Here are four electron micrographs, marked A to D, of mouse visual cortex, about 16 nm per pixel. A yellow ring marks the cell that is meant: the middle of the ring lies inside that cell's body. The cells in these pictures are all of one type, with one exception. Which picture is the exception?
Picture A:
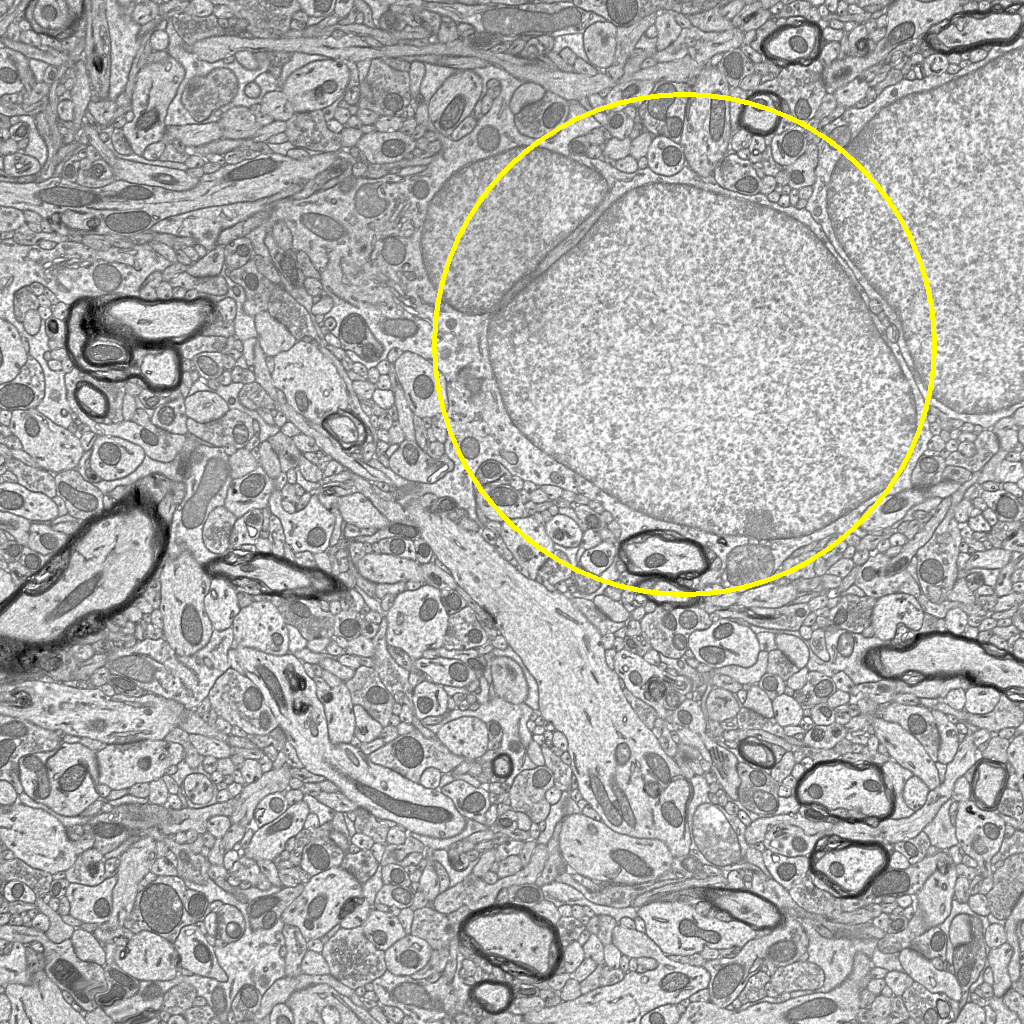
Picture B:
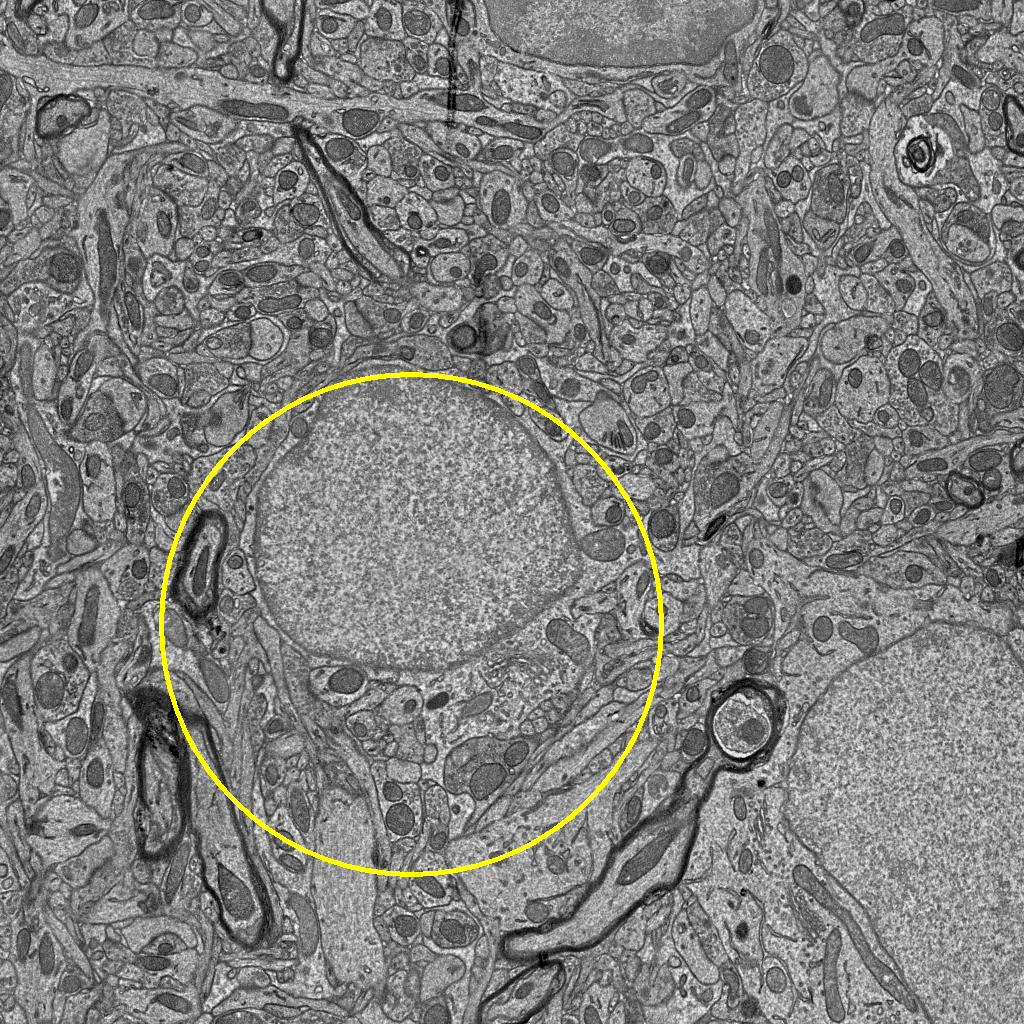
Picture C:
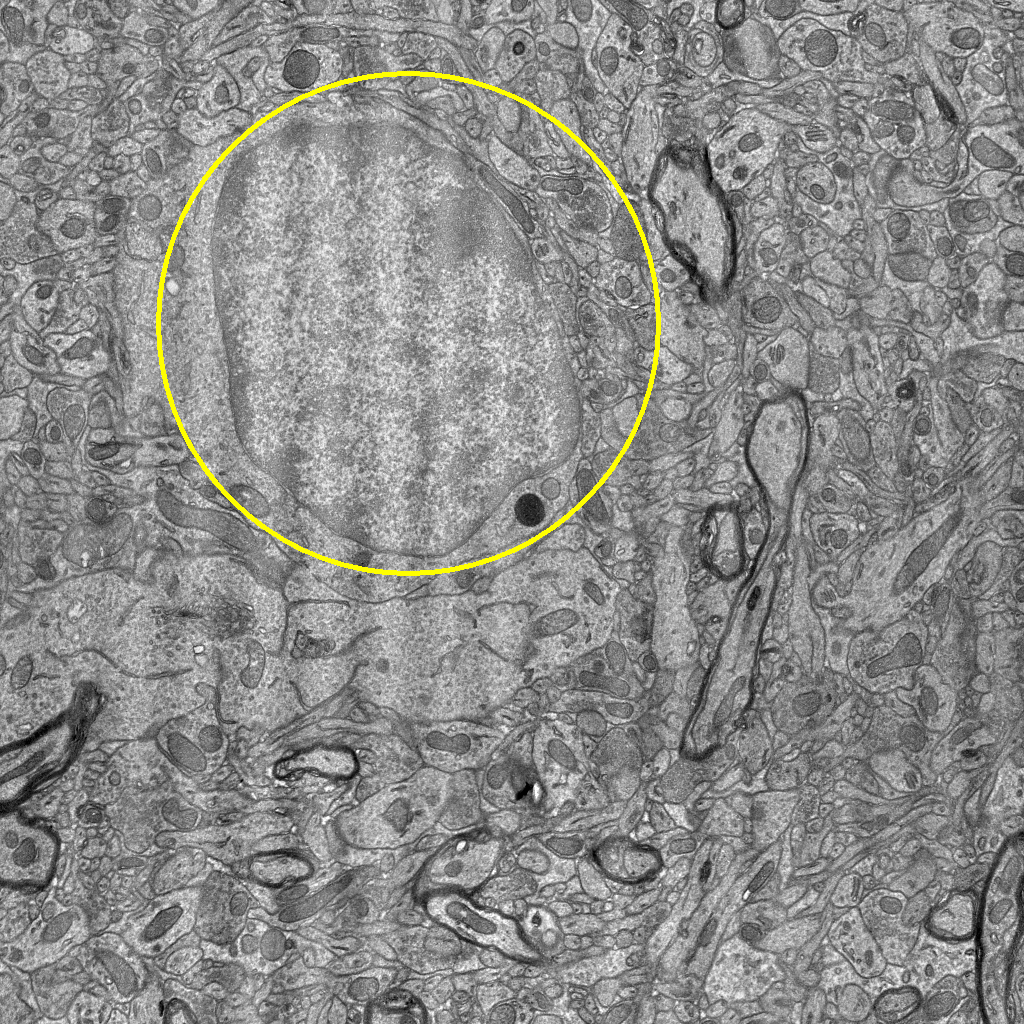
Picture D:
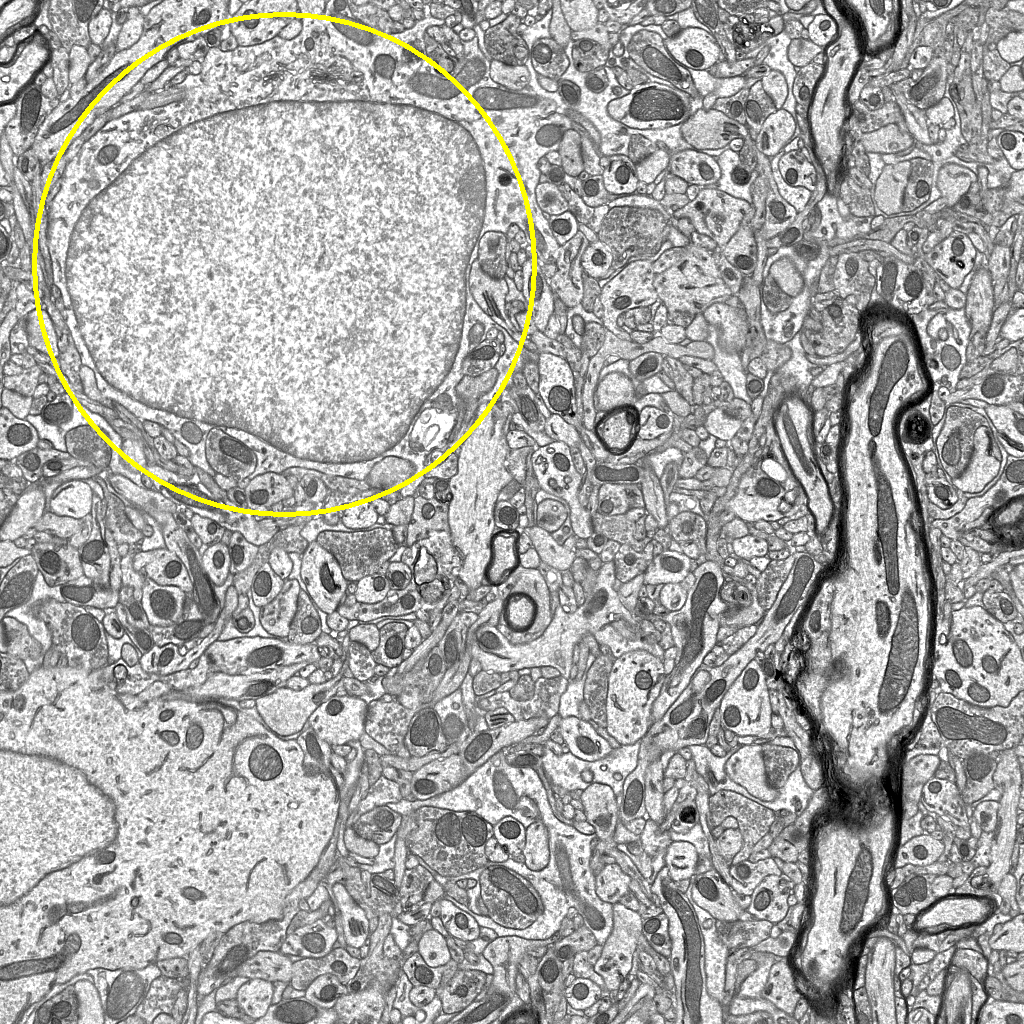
The others show astrocytes, but picture C shows an oligodendrocyte.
